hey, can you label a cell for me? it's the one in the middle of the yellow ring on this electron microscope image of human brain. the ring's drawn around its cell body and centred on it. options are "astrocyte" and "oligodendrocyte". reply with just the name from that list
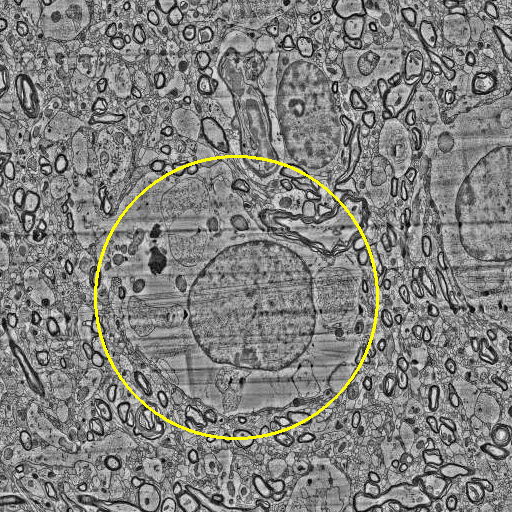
astrocyte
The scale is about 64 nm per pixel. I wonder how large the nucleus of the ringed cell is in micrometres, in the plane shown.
In this plane the nucleus measures roughly 8 micrometres across.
